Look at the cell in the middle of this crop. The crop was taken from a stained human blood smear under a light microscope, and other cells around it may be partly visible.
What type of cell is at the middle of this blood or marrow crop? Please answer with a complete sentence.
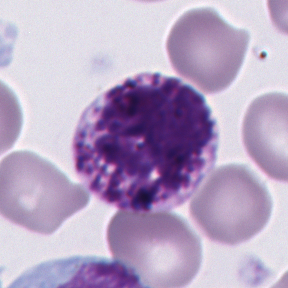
The cell shown in the center of this light-microscope crop is a basophil.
